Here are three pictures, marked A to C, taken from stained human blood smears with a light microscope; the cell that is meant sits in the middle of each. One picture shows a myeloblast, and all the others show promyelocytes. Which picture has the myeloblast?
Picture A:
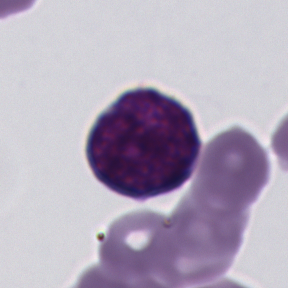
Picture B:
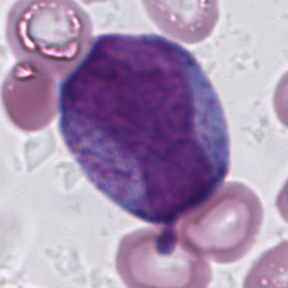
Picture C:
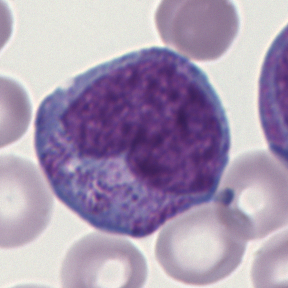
A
